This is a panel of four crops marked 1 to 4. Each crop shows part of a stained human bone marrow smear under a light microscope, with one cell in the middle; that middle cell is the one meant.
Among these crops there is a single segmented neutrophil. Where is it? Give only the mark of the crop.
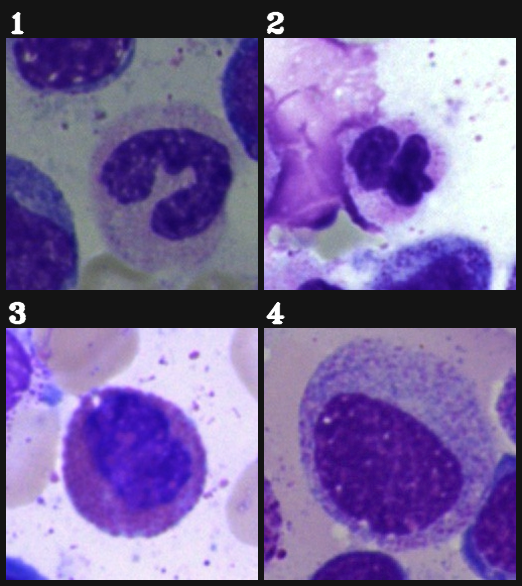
2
